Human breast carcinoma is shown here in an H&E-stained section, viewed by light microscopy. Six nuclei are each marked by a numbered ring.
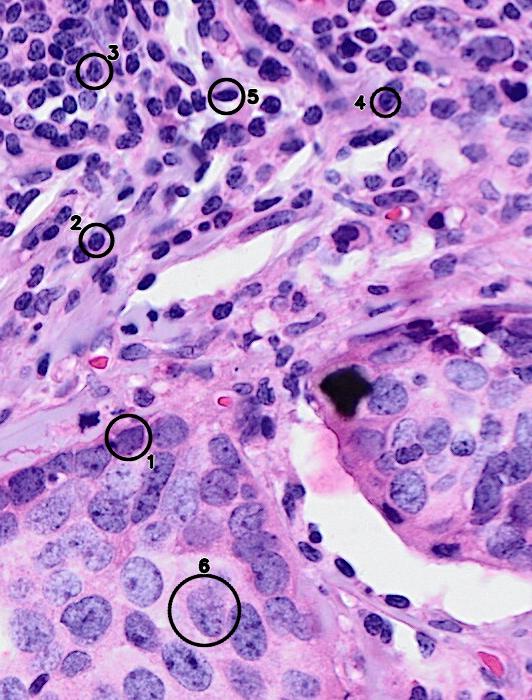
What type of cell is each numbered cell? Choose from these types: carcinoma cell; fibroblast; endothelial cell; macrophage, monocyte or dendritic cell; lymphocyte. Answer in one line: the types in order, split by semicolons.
carcinoma cell; lymphocyte; lymphocyte; lymphocyte; lymphocyte; carcinoma cell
